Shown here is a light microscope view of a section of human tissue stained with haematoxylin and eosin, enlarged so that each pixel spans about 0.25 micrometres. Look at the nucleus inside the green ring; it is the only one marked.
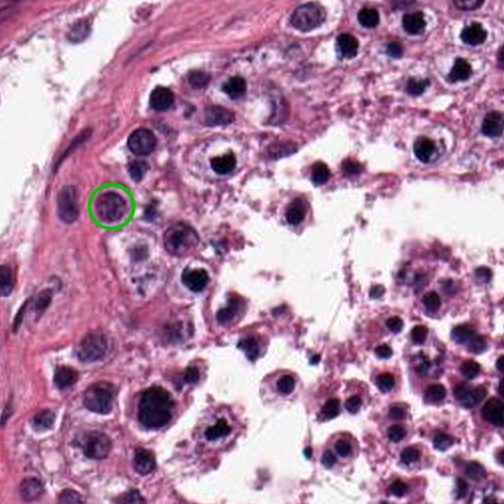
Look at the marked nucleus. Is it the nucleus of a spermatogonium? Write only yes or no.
yes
